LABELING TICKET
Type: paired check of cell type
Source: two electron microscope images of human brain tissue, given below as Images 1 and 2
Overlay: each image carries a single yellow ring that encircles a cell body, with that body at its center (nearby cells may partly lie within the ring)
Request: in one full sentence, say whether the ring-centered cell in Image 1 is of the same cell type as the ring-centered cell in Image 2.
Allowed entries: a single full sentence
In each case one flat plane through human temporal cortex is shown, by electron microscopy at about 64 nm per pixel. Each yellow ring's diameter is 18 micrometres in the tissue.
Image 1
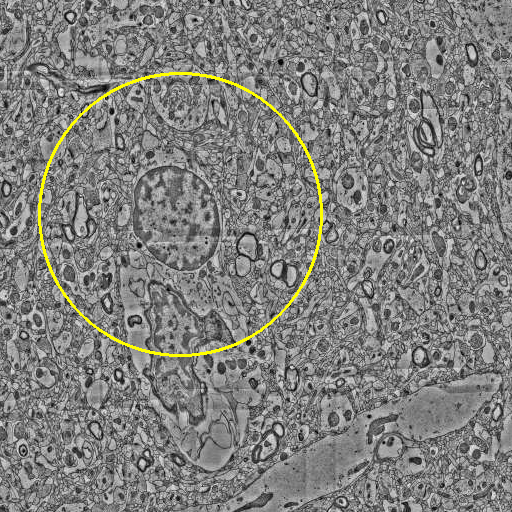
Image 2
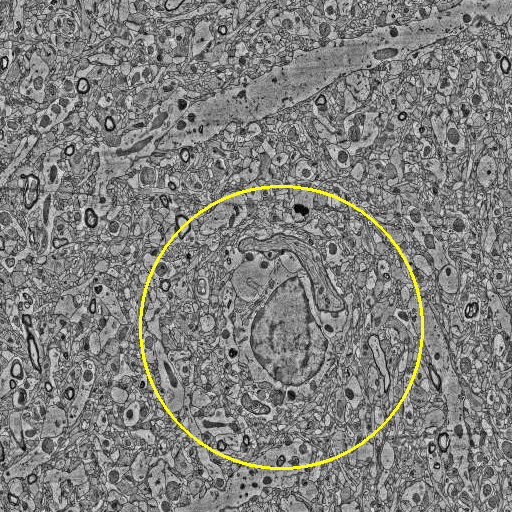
Yes, the cells centered in the rings of Image 1 and Image 2 share one type.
